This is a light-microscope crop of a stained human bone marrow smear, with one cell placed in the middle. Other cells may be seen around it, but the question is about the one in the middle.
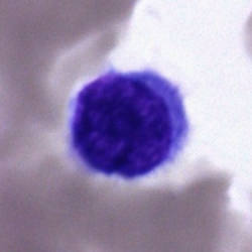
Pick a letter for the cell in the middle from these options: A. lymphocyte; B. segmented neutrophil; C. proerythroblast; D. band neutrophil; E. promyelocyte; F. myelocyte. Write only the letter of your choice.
A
